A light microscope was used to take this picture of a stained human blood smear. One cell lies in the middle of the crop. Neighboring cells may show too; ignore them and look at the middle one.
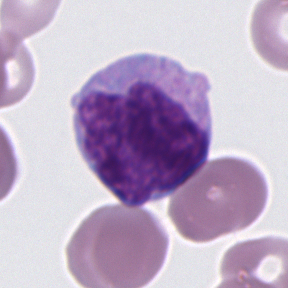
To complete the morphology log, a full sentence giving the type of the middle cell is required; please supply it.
By classification, the middle cell of this crop is an atypical promyelocyte.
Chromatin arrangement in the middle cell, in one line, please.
The nucleus shows chromatin that is coarsely clumped.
